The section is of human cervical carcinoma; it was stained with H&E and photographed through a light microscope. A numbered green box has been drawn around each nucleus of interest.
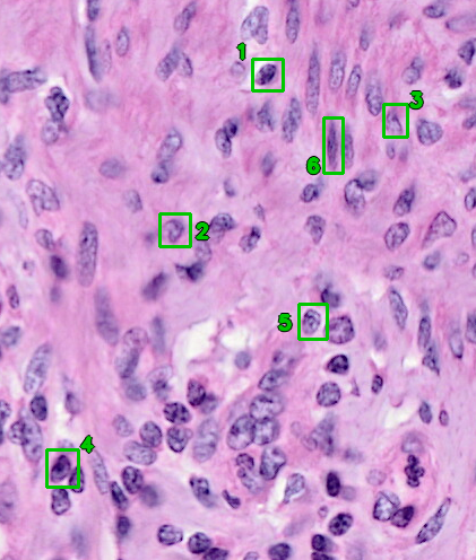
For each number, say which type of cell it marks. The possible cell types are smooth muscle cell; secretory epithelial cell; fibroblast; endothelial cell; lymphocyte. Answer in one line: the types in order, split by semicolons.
lymphocyte; smooth muscle cell; smooth muscle cell; lymphocyte; lymphocyte; smooth muscle cell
